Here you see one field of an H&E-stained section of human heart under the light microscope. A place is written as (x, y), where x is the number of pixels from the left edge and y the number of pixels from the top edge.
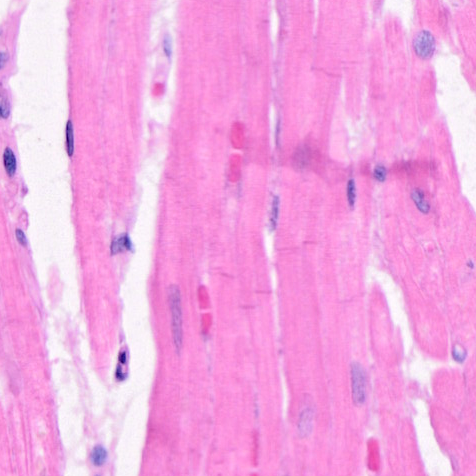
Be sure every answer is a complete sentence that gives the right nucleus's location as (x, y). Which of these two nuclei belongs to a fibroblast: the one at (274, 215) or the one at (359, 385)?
The nucleus that sits at (274, 215) is the nucleus of a fibroblast.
